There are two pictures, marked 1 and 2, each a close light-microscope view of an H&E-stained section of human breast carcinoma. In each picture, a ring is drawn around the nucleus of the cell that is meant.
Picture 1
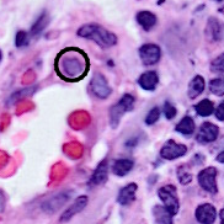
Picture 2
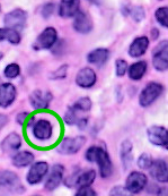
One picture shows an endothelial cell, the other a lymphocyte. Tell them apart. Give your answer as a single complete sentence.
The cell in picture 1 is an endothelial cell, and the one in picture 2 is a lymphocyte.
